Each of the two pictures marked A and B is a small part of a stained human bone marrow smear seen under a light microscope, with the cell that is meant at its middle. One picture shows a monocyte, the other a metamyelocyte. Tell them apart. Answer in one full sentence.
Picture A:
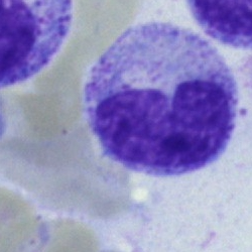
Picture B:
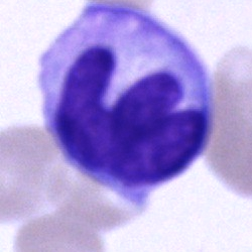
The cell in picture A is a metamyelocyte, and the one in picture B is a monocyte.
